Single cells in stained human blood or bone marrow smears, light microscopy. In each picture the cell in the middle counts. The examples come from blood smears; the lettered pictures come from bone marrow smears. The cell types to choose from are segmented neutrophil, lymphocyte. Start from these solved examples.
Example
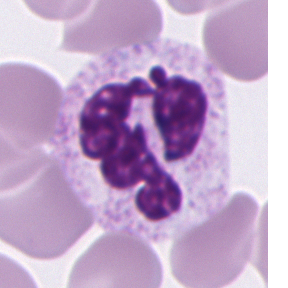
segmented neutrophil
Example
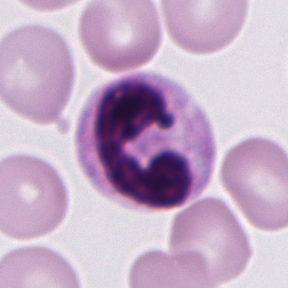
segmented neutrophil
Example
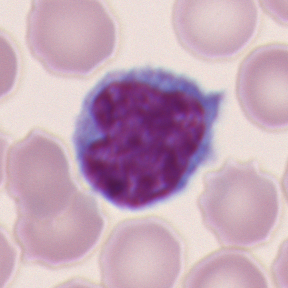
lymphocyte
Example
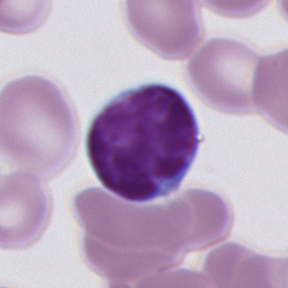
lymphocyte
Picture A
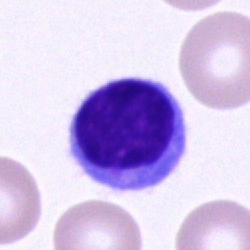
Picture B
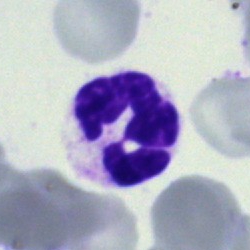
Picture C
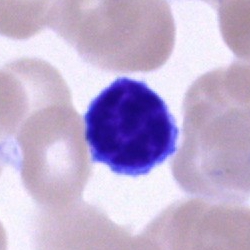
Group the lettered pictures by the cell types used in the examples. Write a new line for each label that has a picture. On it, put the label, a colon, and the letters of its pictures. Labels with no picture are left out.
segmented neutrophil: B
lymphocyte: A, C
